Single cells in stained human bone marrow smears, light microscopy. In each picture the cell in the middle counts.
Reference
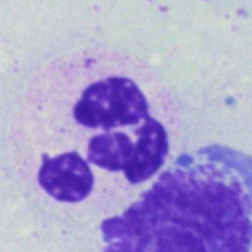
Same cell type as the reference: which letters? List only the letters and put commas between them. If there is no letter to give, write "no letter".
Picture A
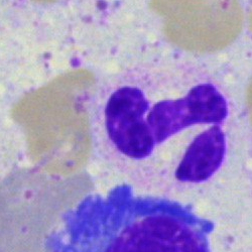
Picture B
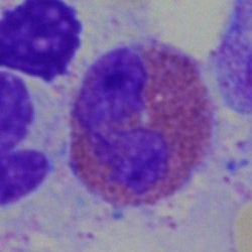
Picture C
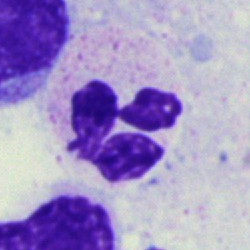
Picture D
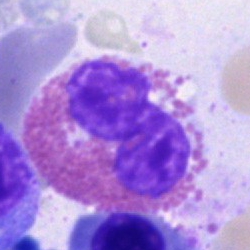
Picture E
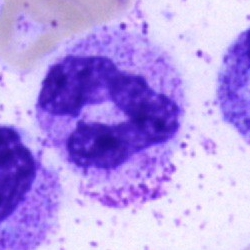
A, C, E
